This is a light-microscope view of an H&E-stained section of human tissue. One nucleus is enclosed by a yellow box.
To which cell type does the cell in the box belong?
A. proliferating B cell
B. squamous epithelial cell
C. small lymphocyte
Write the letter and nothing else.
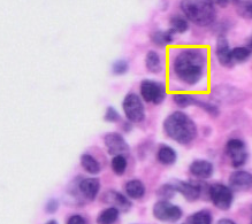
A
